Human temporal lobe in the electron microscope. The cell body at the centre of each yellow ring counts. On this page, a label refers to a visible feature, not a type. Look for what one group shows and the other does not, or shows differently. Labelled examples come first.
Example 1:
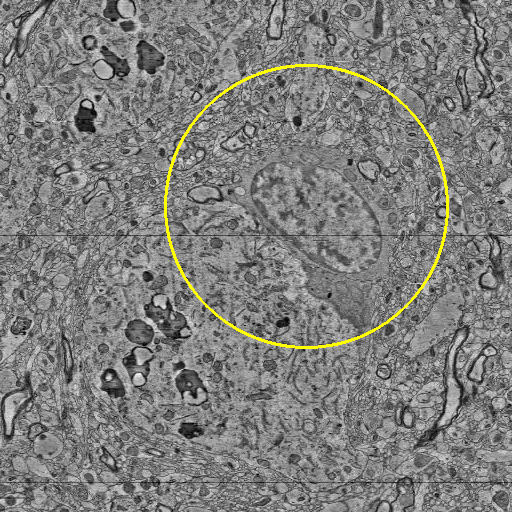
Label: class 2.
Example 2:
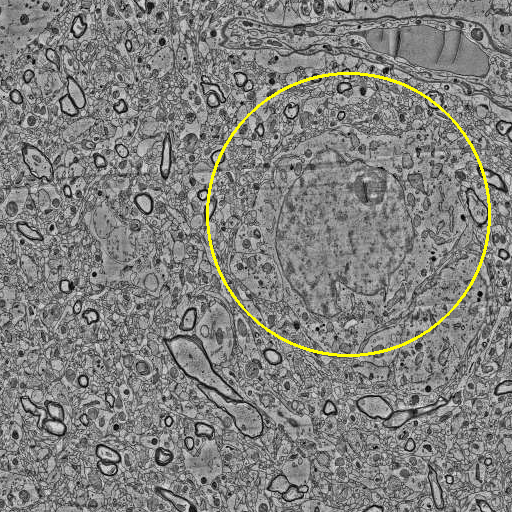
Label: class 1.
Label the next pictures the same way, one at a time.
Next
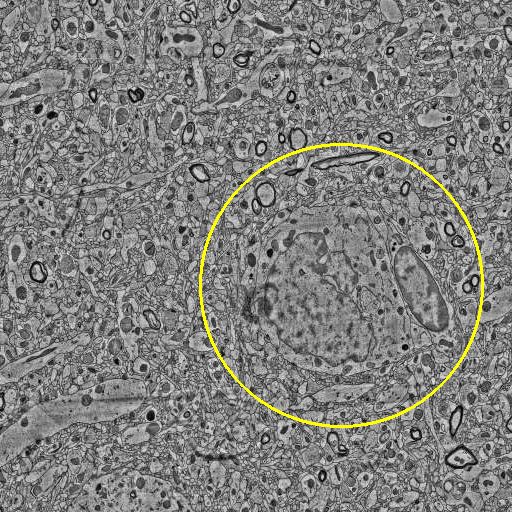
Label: class 1.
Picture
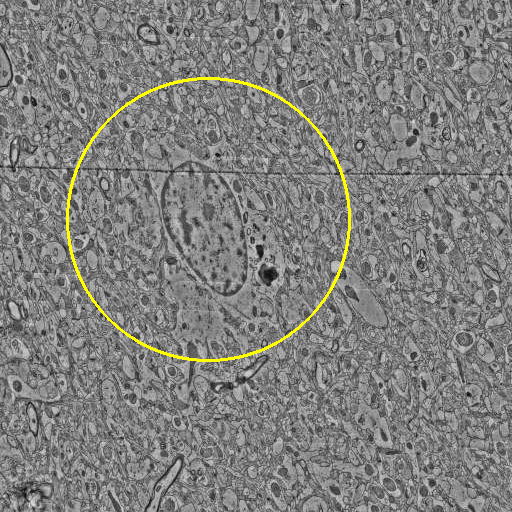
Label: class 2.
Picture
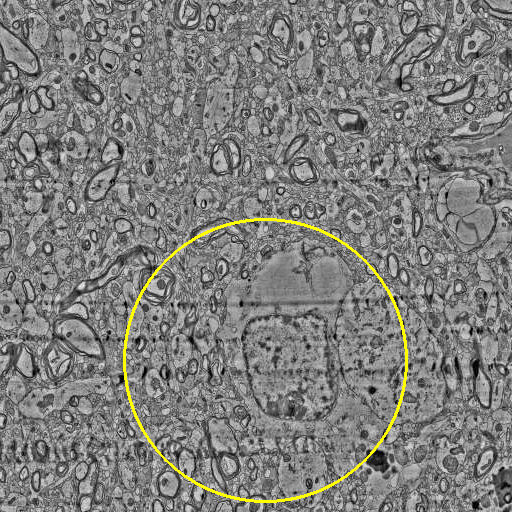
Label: class 1.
